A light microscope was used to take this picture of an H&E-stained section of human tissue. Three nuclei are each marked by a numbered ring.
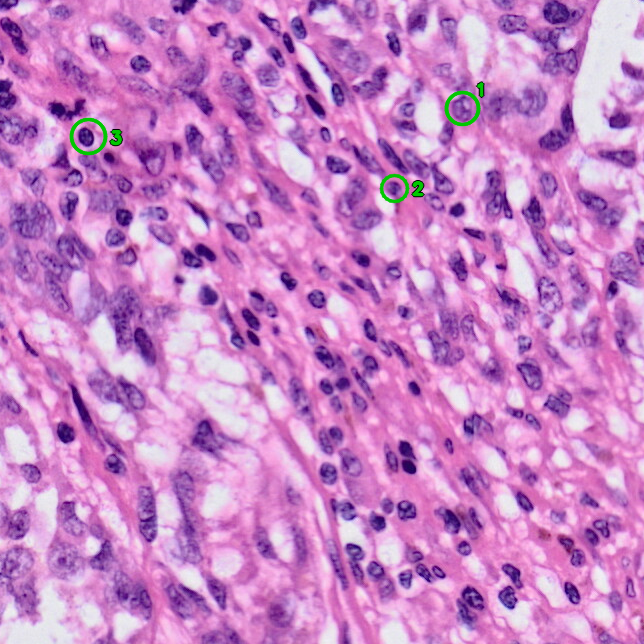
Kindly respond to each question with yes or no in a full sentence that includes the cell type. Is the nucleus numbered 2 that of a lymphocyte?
Yes, the cell at the mark numbered 2 is a lymphocyte.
